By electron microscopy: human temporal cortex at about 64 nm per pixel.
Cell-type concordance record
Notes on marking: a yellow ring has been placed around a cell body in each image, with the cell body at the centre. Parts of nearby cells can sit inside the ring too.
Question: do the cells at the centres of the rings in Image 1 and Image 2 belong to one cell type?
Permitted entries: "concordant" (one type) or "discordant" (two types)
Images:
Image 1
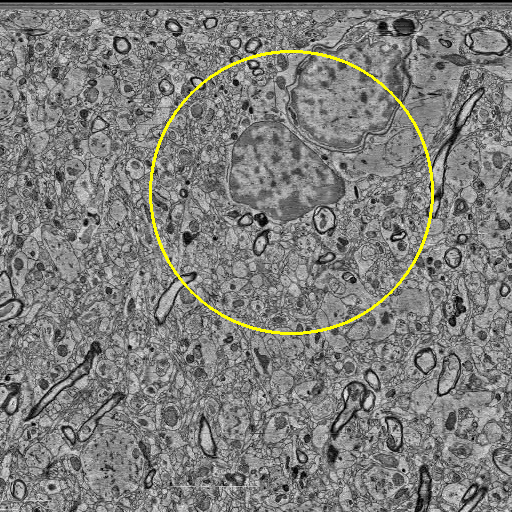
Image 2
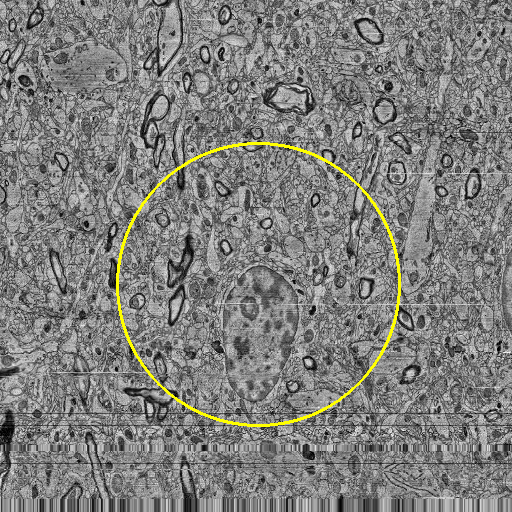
concordant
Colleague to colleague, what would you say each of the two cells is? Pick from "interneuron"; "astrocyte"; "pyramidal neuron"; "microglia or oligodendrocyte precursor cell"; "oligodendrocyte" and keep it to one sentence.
Each cell, in the first picture and the second, is a microglial cell or oligodendrocyte precursor cell.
